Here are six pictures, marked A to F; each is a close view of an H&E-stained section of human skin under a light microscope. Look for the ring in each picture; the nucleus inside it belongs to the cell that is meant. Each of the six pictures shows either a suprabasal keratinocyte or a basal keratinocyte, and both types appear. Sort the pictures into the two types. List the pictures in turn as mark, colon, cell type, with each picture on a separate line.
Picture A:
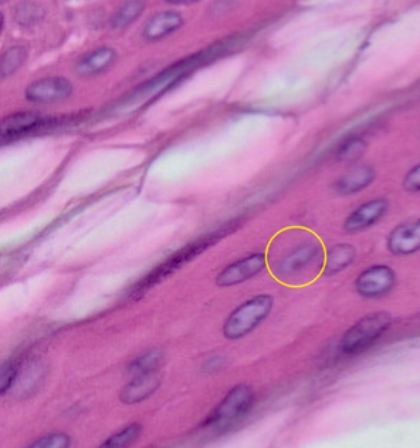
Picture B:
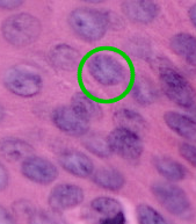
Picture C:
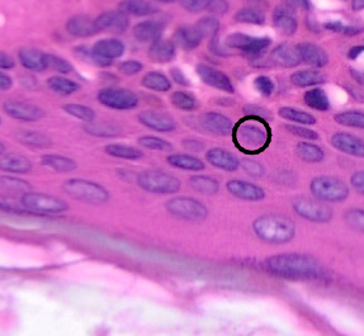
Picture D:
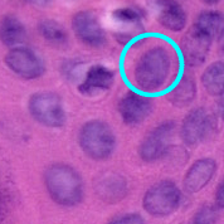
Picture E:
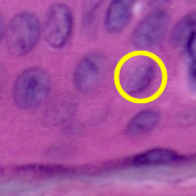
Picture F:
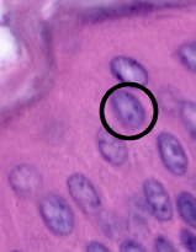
A: suprabasal keratinocyte
B: suprabasal keratinocyte
C: basal keratinocyte
D: basal keratinocyte
E: suprabasal keratinocyte
F: suprabasal keratinocyte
